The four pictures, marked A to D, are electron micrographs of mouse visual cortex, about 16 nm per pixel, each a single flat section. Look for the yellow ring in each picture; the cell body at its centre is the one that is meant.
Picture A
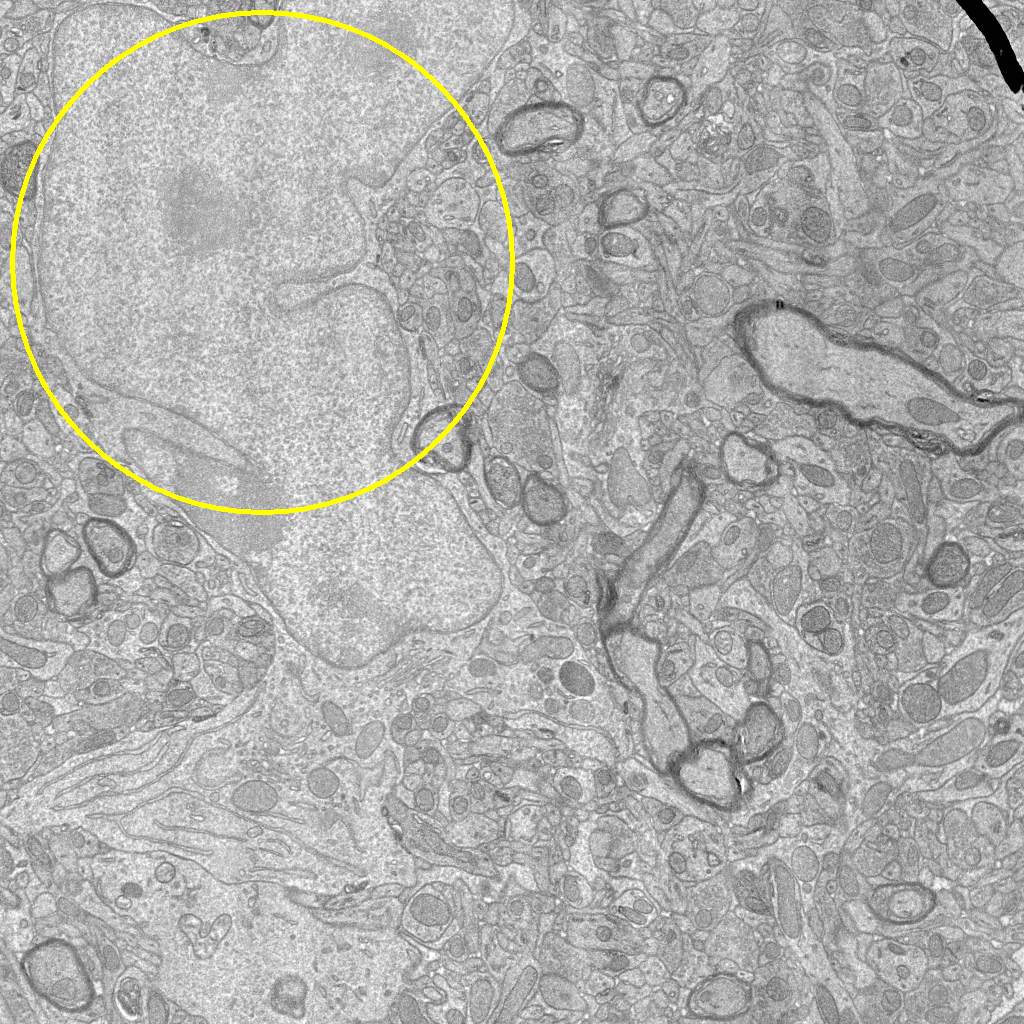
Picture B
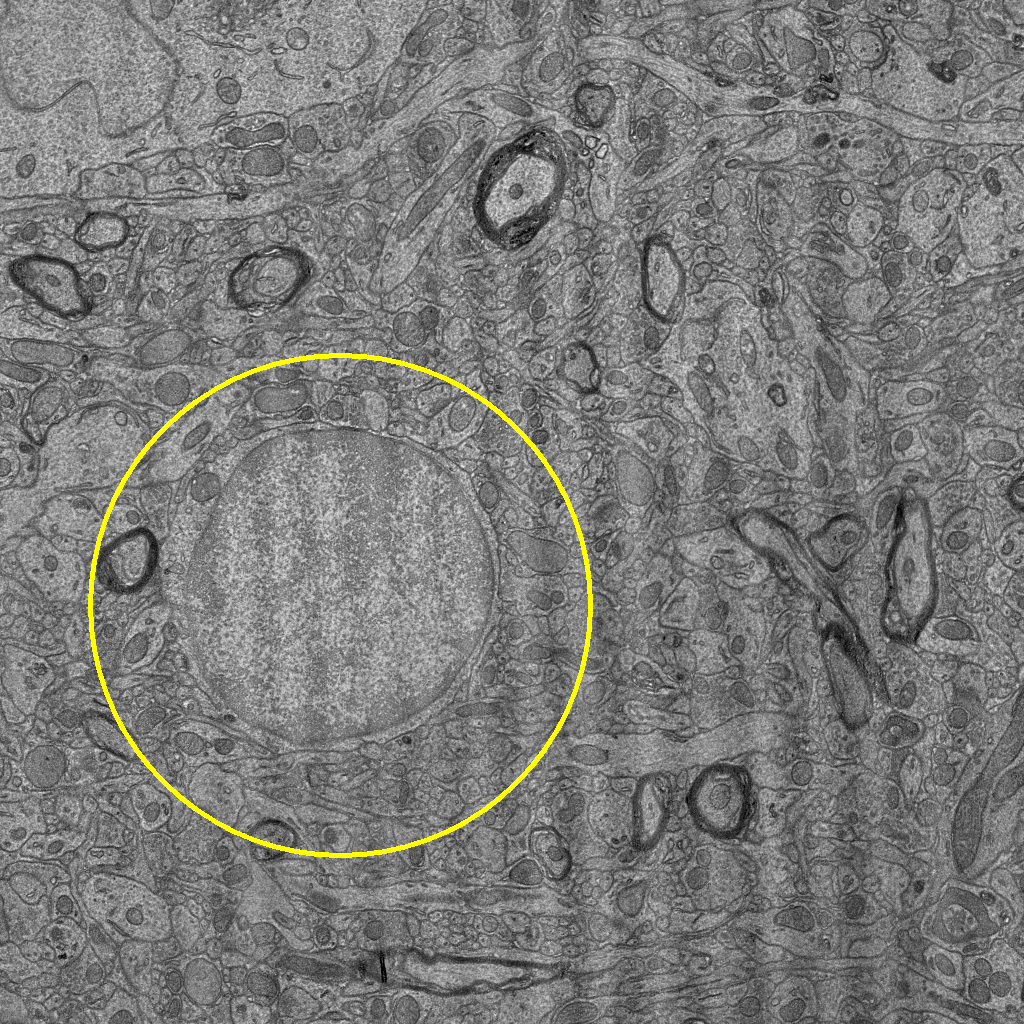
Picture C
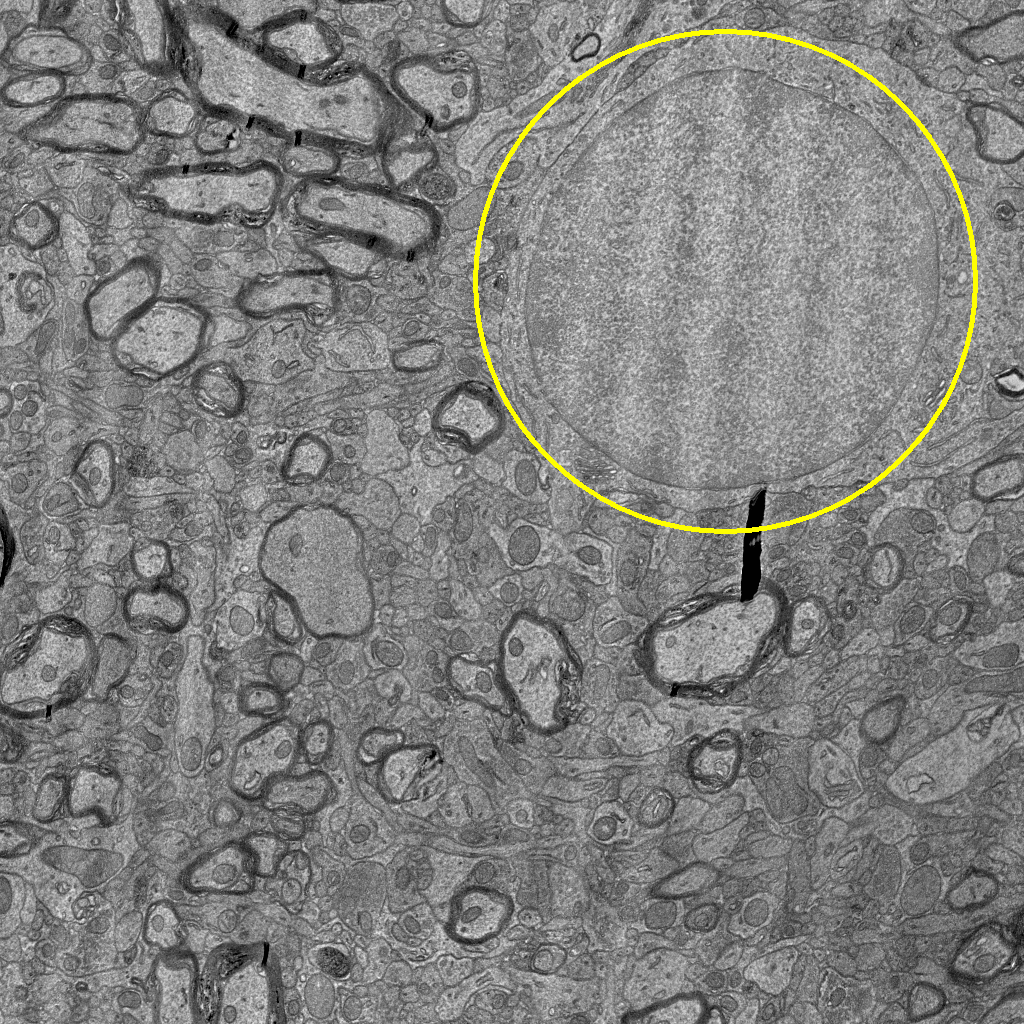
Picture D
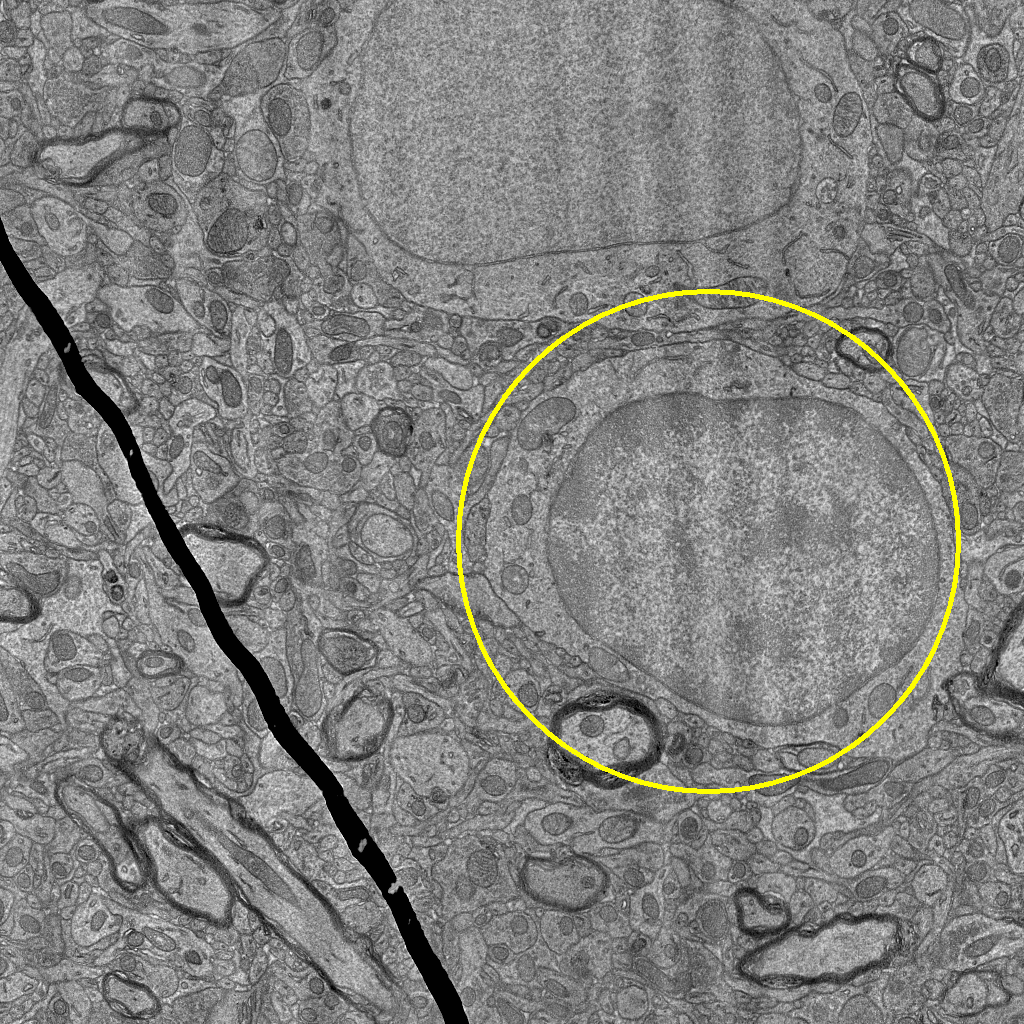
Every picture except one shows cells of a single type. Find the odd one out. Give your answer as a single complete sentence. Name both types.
Picture A is the odd one out: it shows an oligodendrocyte precursor cell, while the others show oligodendrocytes.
